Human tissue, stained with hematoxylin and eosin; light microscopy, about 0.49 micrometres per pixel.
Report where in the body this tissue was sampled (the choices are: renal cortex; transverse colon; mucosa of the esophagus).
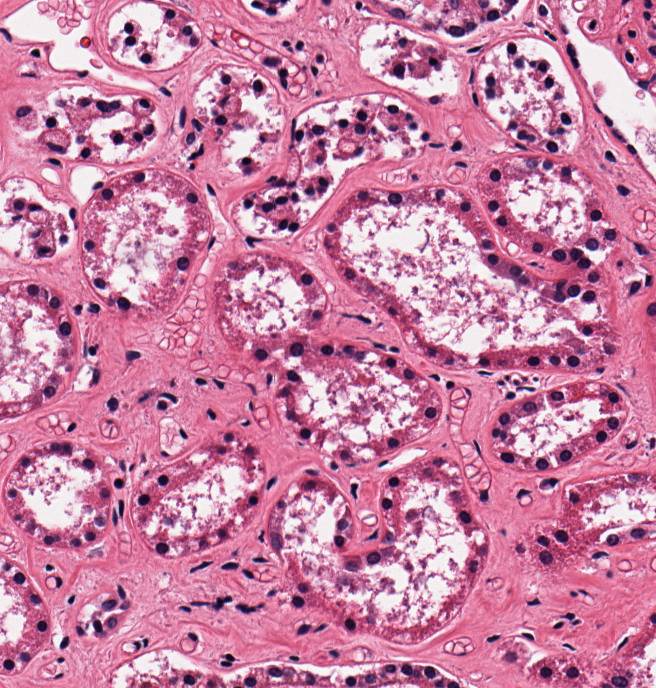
renal cortex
